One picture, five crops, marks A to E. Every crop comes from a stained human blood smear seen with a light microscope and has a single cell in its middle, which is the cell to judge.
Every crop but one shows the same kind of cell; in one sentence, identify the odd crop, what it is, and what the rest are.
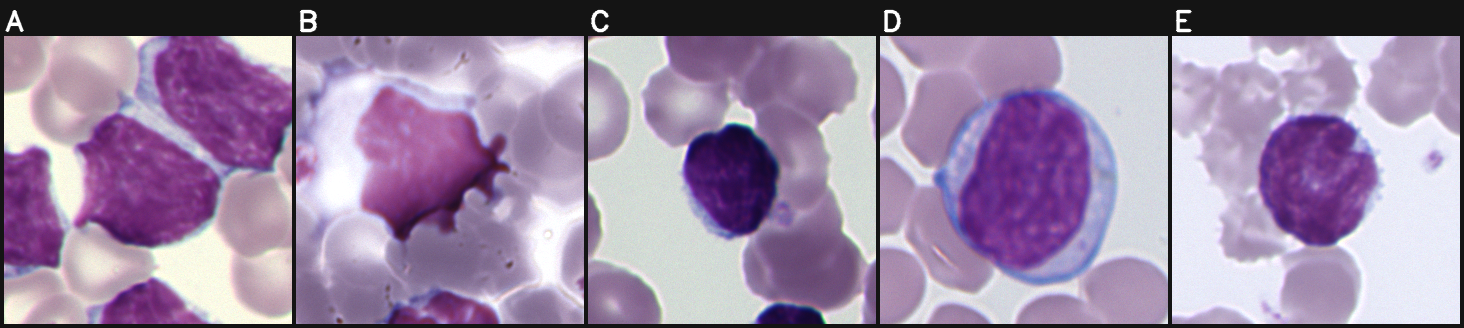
All the crops show lymphocytes except crop D, which shows a blast.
